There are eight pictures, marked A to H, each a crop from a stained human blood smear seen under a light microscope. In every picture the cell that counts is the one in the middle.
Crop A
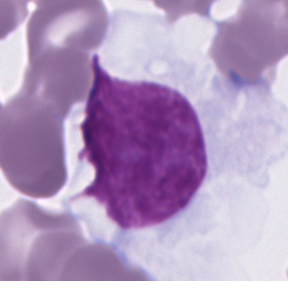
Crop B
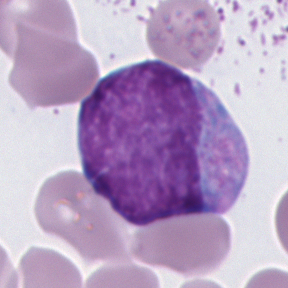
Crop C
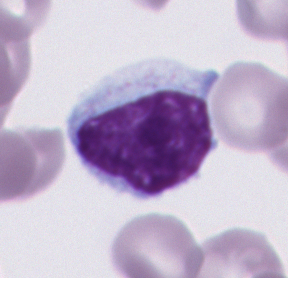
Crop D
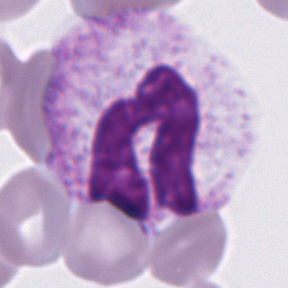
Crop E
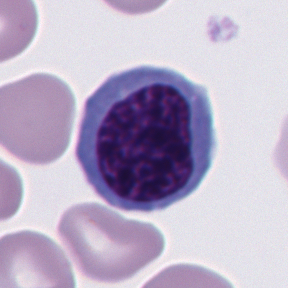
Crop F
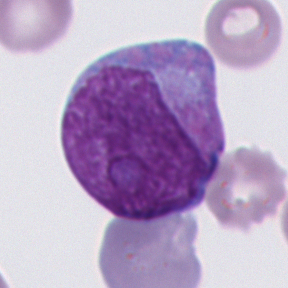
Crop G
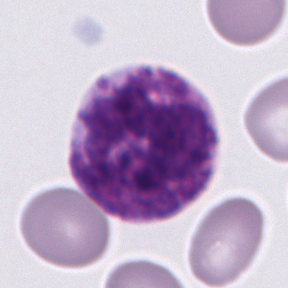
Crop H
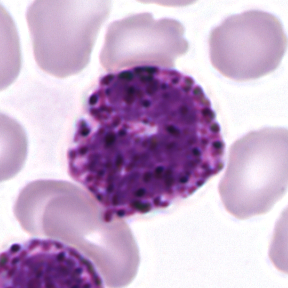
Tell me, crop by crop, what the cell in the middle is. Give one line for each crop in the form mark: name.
A: hairy cell
B: atypical promyelocyte
C: typical lymphocyte
D: neutrophil
E: erythroblast
F: atypical promyelocyte
G: basophil
H: basophil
